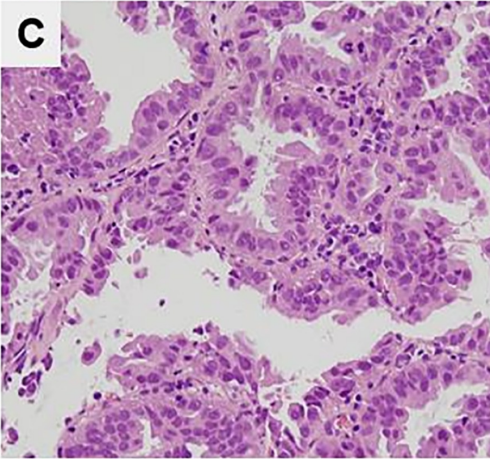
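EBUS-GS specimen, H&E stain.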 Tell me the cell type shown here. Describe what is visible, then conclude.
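Crowded cells with enlarged oval nuclei line gland-like and papillary spaces. The cells fill most of the field with little stroma between them.
Hence: tumor cells.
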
